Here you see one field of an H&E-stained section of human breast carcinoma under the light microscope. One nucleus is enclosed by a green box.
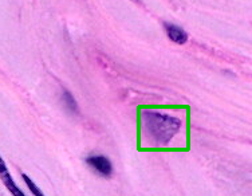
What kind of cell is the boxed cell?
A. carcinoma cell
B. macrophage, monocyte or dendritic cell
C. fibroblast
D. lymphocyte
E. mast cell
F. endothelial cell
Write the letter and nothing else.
C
